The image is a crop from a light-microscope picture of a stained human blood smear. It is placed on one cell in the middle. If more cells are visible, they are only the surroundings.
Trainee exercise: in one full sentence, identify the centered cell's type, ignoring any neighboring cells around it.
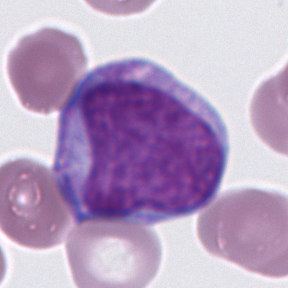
The cell under consideration, at the middle of the crop, is an atypical promyelocyte.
